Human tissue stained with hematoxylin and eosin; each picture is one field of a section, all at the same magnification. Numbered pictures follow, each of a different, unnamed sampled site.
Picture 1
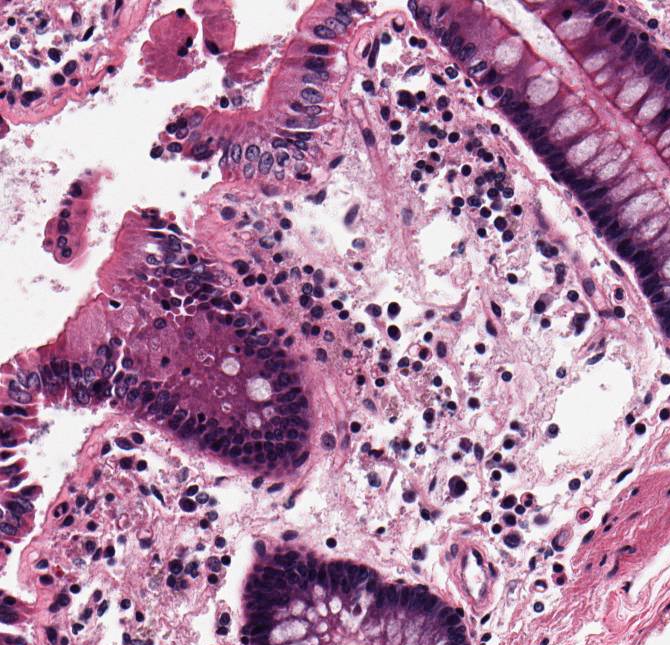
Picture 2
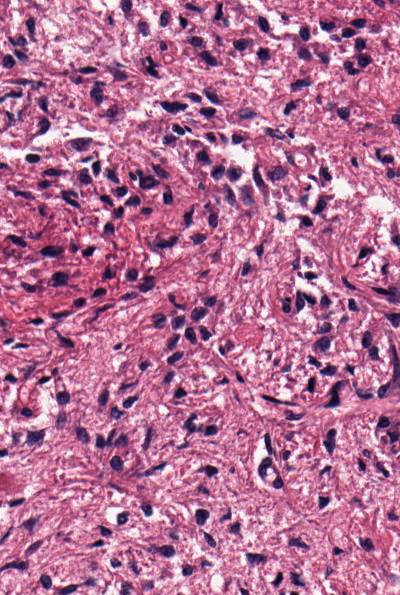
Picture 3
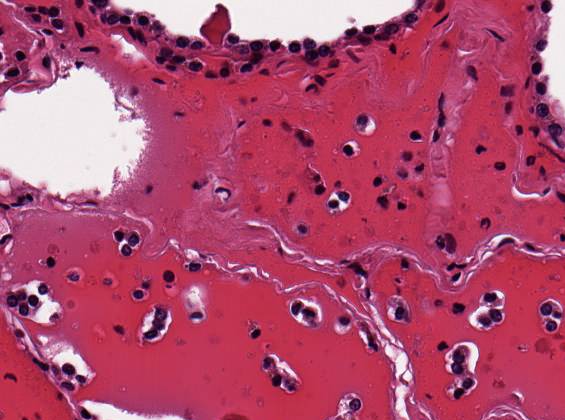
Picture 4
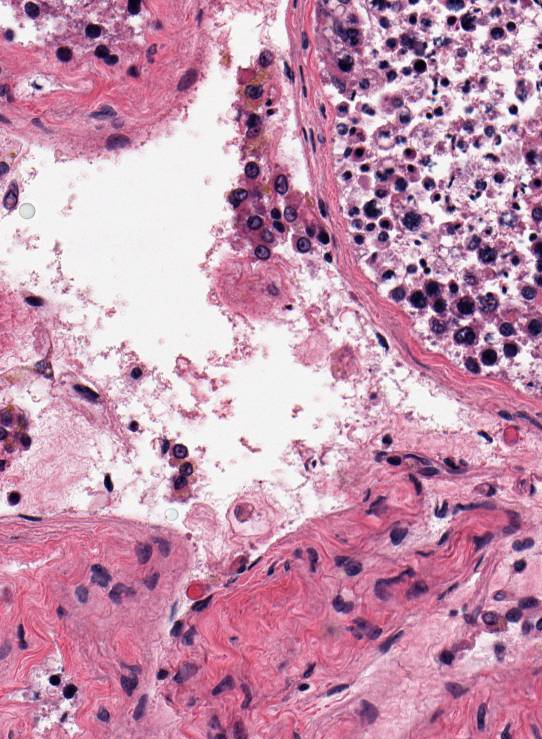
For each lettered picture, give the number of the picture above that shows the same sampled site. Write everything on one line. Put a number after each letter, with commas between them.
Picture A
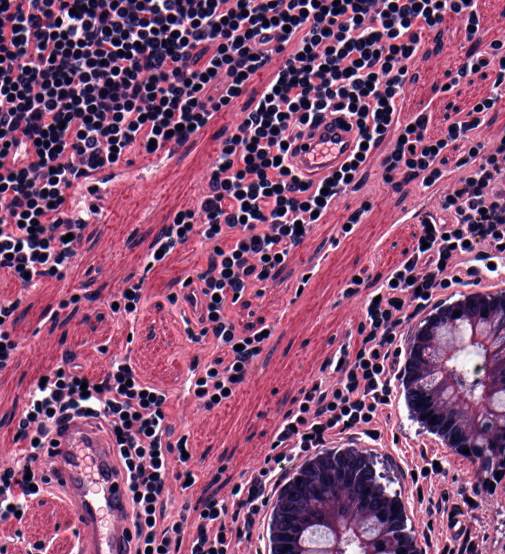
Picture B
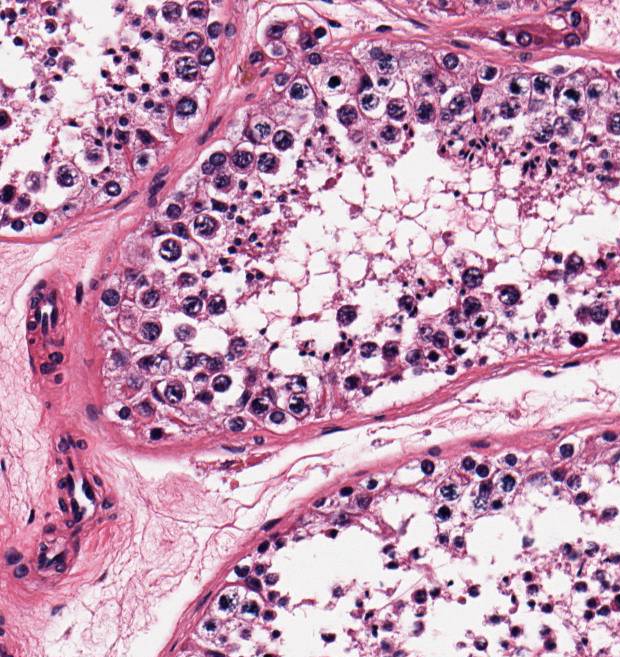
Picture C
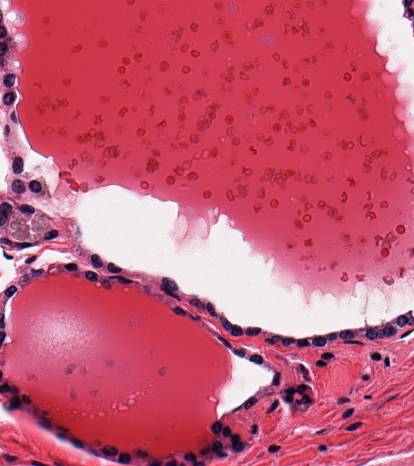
A 1, B 4, C 3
